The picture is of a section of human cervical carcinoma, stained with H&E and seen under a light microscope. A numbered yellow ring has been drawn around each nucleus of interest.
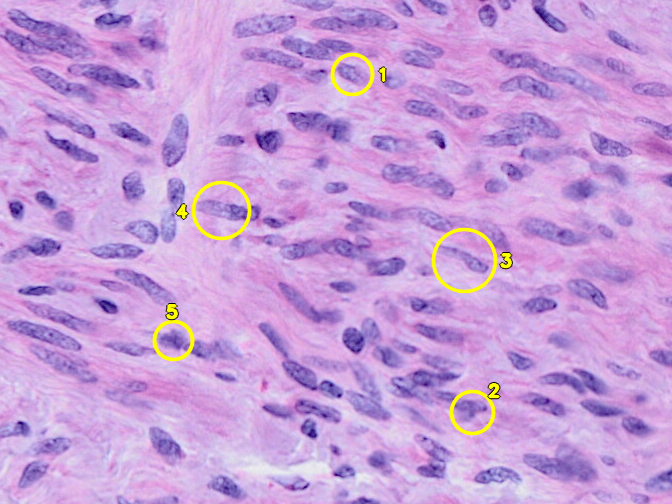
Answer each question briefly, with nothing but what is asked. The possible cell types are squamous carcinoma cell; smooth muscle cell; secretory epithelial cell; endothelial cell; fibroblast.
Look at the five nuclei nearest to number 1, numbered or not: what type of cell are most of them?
smooth muscle cell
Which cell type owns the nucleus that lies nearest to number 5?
fibroblast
